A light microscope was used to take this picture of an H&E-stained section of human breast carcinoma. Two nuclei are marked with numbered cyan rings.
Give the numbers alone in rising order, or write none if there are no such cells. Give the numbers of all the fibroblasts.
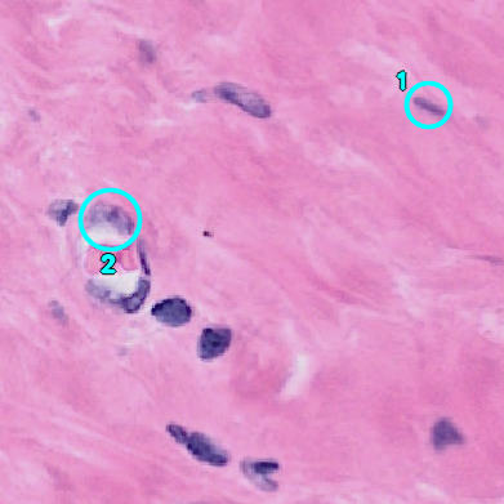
1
